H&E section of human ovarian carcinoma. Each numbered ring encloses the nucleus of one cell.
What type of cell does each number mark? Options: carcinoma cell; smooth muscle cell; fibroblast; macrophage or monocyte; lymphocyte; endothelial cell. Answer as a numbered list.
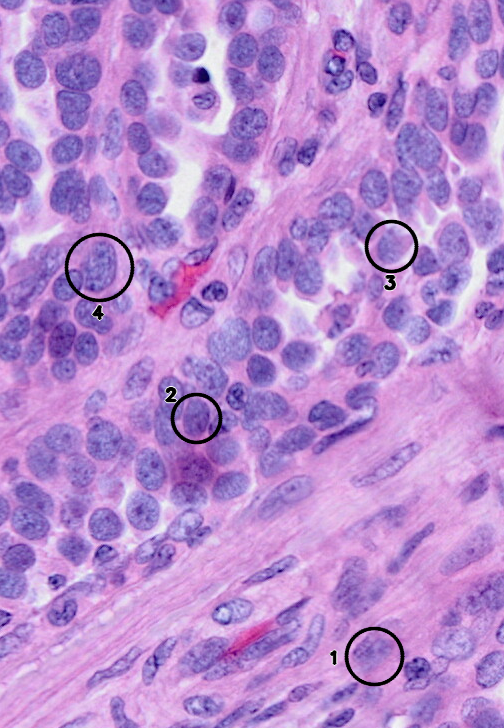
1. fibroblast
2. carcinoma cell
3. carcinoma cell
4. carcinoma cell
